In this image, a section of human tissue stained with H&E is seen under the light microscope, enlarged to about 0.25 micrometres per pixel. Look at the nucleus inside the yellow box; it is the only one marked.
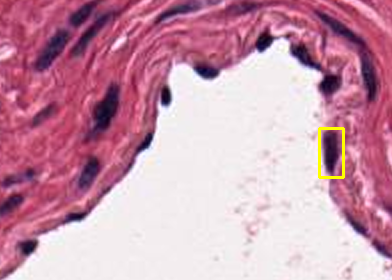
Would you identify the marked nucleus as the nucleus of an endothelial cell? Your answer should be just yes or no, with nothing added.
yes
